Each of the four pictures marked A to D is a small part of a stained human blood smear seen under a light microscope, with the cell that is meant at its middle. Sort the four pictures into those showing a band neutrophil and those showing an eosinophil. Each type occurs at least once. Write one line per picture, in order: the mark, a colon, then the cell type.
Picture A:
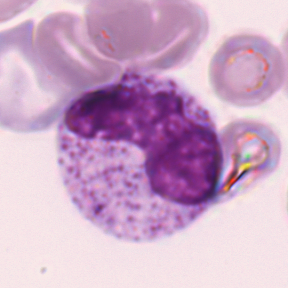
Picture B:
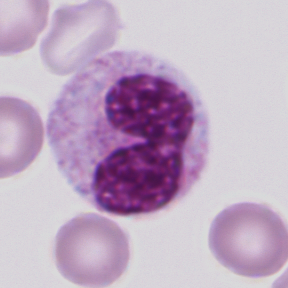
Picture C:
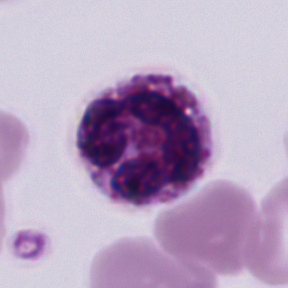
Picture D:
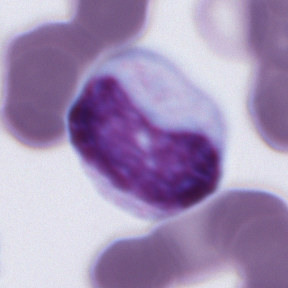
A: band neutrophil
B: band neutrophil
C: eosinophil
D: band neutrophil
